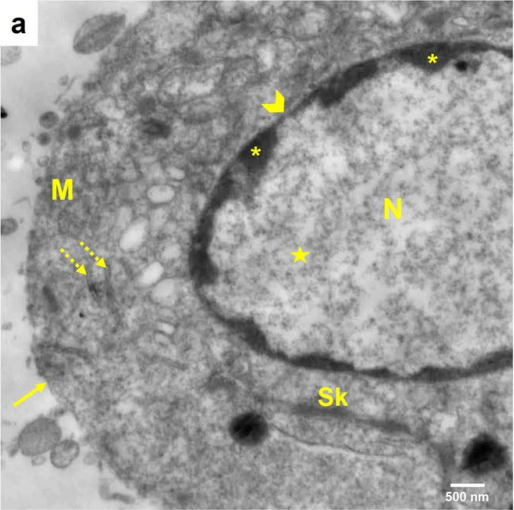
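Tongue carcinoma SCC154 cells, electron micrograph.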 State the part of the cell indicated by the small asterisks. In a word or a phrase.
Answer: heterochromatin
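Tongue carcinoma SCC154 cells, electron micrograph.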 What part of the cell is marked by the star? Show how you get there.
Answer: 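The star sits in the pale, finely granular interior of the nucleus. This region is far lighter than the dark patches at the nuclear rim.
Conclusion: euchromatin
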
